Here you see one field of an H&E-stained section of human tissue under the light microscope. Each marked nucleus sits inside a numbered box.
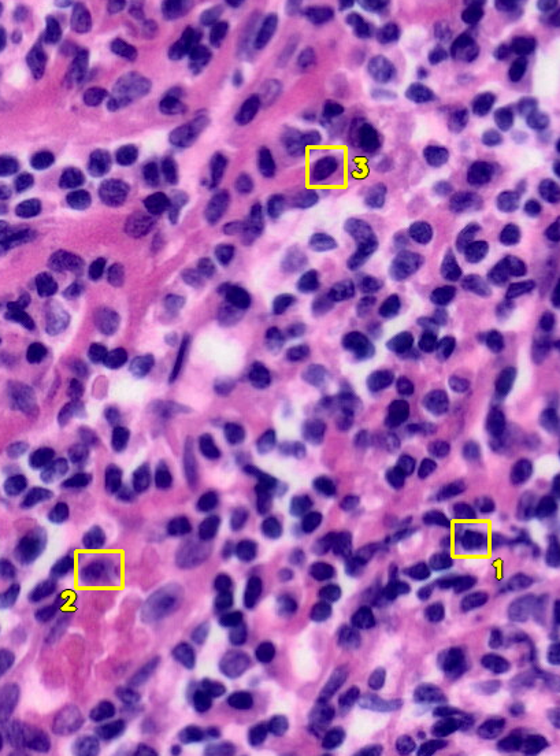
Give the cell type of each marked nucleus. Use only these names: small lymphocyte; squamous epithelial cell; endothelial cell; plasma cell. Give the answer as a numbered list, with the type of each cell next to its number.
1. small lymphocyte
2. endothelial cell
3. plasma cell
